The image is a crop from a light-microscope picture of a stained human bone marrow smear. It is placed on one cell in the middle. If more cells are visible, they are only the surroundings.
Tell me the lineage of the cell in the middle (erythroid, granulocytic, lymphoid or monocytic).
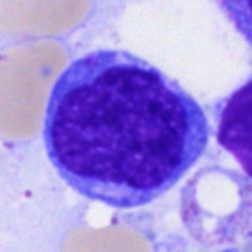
monocytic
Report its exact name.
monocyte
